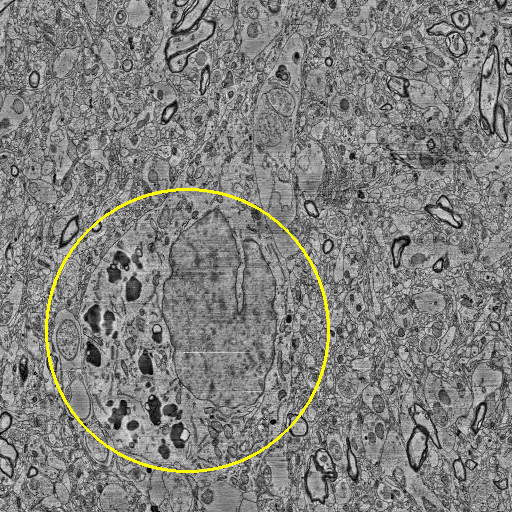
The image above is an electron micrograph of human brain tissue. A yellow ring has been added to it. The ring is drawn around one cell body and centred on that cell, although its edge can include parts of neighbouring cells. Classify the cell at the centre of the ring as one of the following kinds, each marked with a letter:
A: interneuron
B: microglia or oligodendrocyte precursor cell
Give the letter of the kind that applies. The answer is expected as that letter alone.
A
